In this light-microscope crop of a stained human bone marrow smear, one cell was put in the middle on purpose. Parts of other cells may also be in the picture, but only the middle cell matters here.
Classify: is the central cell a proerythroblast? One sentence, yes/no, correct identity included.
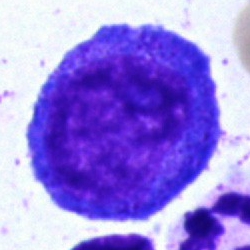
Yes, that middle cell in the crop is a proerythroblast.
